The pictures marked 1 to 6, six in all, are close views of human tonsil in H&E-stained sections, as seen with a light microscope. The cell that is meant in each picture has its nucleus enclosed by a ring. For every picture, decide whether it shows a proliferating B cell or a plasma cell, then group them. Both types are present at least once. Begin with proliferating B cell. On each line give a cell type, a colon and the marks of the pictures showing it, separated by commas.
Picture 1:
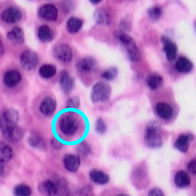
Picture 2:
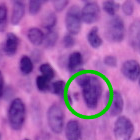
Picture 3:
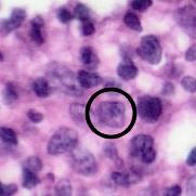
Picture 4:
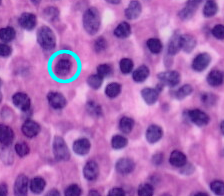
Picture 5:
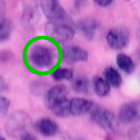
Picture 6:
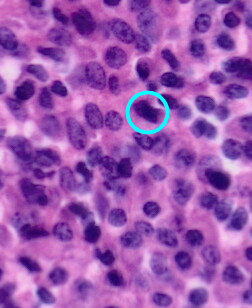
proliferating B cell: 2, 3, 5
plasma cell: 1, 4, 6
